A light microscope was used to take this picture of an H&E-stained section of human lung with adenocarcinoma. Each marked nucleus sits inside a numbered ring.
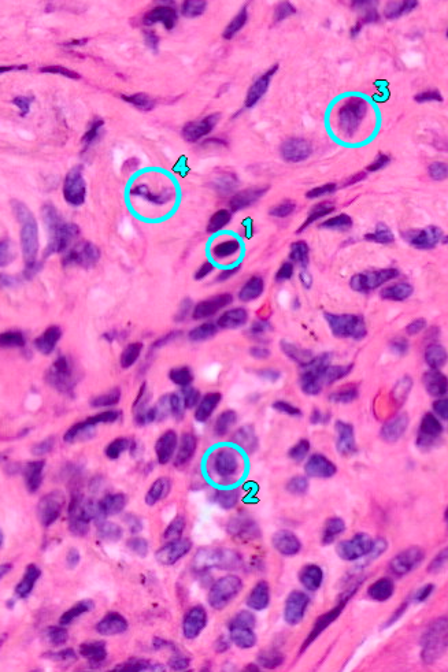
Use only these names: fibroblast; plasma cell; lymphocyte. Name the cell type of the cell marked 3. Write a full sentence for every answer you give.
Among the marked nuclei, number 3 belongs to a plasma cell.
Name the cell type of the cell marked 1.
Among the marked cells, number 1 is a lymphocyte.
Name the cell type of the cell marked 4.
The cell given label 4 is a fibroblast.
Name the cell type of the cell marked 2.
Cell number 2 in this section is a lymphocyte.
